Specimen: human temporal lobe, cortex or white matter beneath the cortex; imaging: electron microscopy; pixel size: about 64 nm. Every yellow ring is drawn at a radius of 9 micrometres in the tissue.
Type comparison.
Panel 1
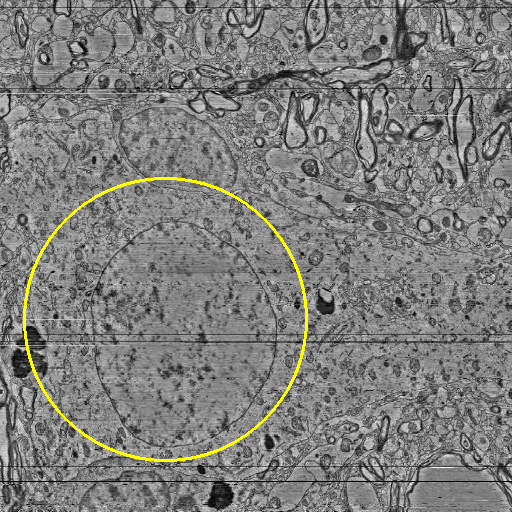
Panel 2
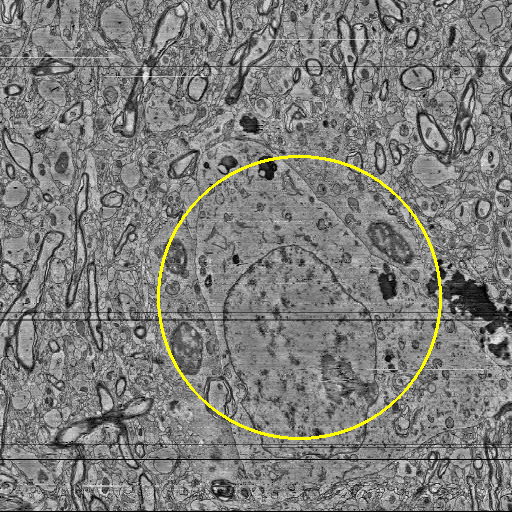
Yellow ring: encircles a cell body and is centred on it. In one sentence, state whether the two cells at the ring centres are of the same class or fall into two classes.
In these panels, the two cells at the ring centres are of the same class.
